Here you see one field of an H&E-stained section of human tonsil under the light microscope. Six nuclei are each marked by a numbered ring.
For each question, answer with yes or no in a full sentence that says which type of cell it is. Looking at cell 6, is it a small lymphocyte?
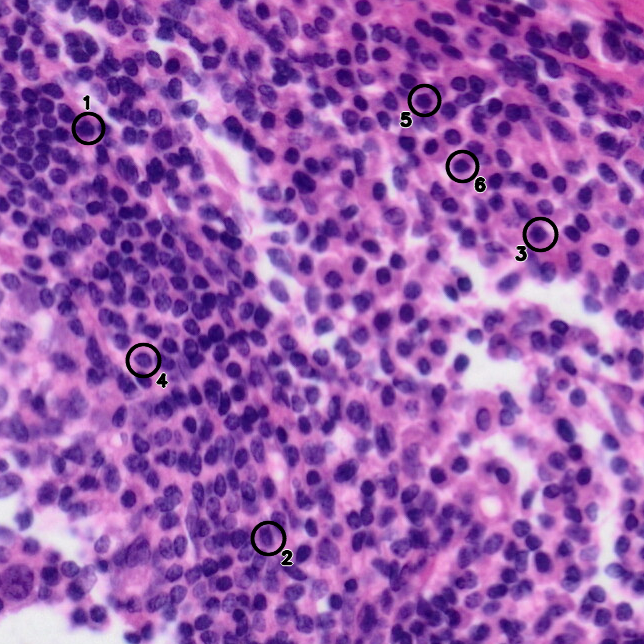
No, the cell marked 6 is a plasma cell rather than a small lymphocyte.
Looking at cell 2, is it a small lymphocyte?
Yes, the cell tagged with the number 2 is a small lymphocyte.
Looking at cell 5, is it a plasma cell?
Yes, that is correct: the cell numbered 5 is a plasma cell.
